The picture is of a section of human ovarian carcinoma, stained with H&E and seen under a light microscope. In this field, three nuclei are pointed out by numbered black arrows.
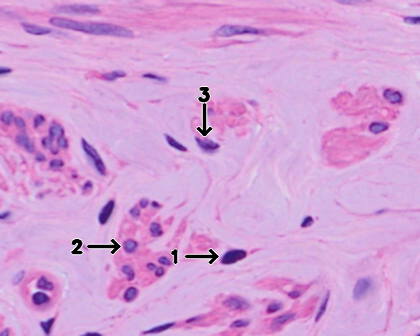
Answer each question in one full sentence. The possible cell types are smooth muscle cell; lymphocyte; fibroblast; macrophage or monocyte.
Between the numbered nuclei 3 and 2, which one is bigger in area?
Nucleus 3 is the larger one, covering about 1.5 times the area of nucleus 2.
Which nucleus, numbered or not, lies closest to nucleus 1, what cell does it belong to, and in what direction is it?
The closest nucleus belongs to a smooth muscle cell and sits below nucleus 1.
